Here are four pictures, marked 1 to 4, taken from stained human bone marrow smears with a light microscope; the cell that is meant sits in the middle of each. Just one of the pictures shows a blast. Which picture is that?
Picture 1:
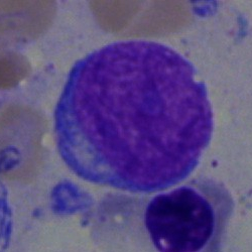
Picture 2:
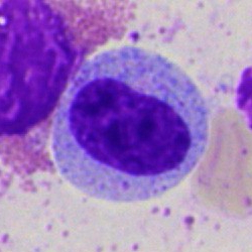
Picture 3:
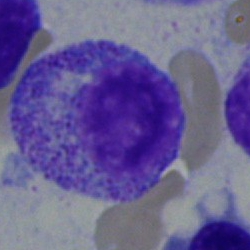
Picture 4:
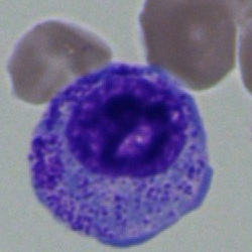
1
